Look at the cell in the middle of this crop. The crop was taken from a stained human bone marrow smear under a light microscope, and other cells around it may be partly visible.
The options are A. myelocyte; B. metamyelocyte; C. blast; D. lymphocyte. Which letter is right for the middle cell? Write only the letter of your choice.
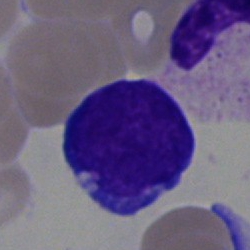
C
